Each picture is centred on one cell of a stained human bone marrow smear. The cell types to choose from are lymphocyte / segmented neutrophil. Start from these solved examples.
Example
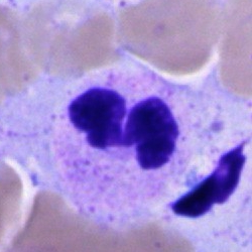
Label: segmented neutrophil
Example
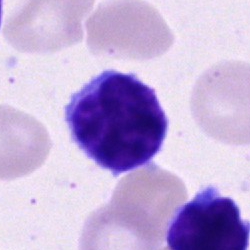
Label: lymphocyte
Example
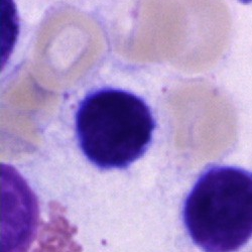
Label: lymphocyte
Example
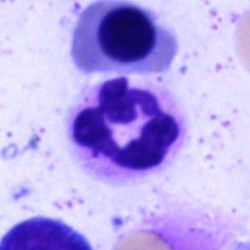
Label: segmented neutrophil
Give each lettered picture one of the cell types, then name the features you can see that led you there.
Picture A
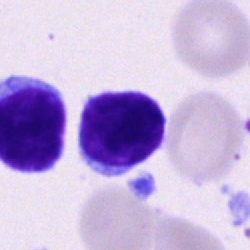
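lymphocyte. The cytoplasm is scant, forming only a thin rim.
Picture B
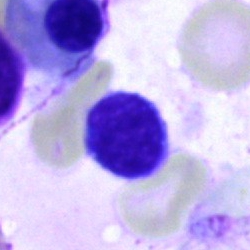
lymphocyte. The nucleus fills almost the whole cell, leaving at most a very thin rim of cytoplasm.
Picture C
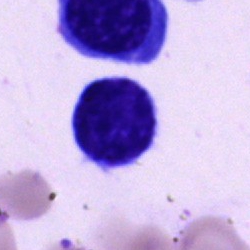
lymphocyte. The cytoplasm is very scant, at most a thin rim at the edge.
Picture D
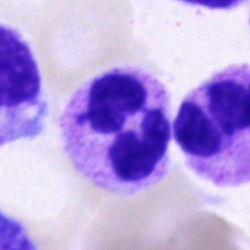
segmented neutrophil. The cytoplasm is plentiful and pale pinkish-lilac.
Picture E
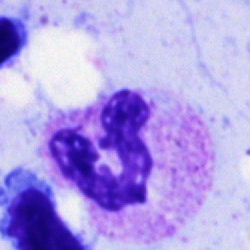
segmented neutrophil. The cytoplasm is abundant and pale pink.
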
